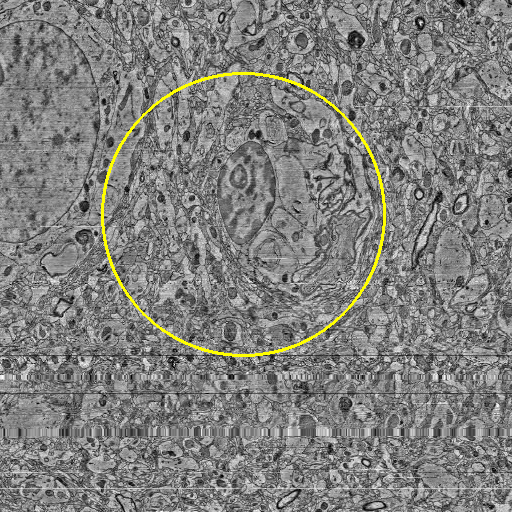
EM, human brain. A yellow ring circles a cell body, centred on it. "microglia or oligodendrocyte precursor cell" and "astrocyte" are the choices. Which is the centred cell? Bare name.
microglia or oligodendrocyte precursor cell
